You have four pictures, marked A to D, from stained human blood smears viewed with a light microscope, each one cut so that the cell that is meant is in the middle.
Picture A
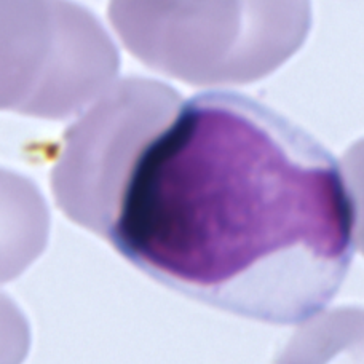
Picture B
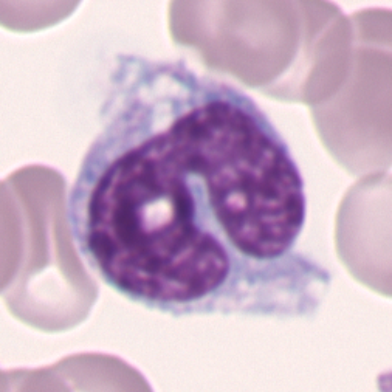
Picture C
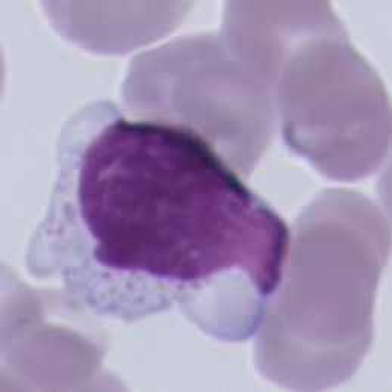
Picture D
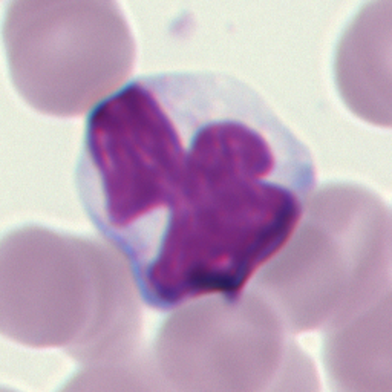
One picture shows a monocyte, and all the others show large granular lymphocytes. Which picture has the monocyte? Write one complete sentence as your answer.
Picture B shows the monocyte.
